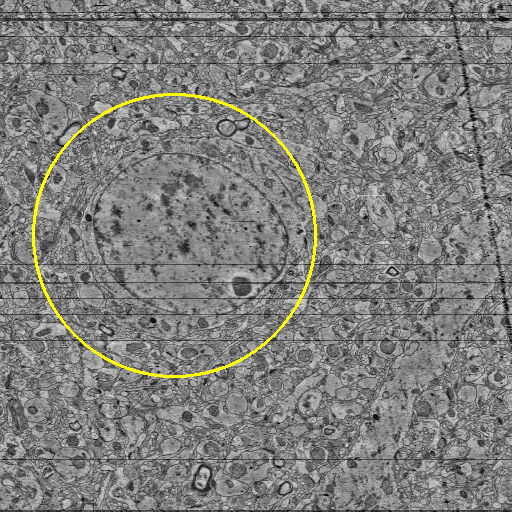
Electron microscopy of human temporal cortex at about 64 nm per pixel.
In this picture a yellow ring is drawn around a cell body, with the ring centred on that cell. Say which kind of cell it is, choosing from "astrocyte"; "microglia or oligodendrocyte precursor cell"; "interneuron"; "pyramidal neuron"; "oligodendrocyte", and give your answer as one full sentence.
Here it is a pyramidal neuron that sits at the centre of the drawn yellow ring.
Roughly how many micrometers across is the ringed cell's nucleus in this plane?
In this plane, approximately 13 by 10 micrometers.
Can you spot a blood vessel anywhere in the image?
No, there is no blood vessel.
